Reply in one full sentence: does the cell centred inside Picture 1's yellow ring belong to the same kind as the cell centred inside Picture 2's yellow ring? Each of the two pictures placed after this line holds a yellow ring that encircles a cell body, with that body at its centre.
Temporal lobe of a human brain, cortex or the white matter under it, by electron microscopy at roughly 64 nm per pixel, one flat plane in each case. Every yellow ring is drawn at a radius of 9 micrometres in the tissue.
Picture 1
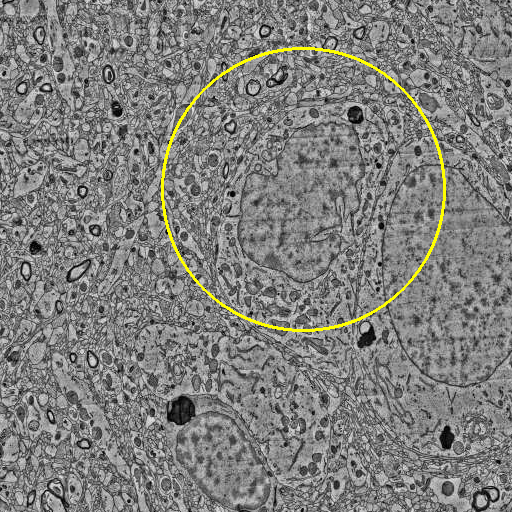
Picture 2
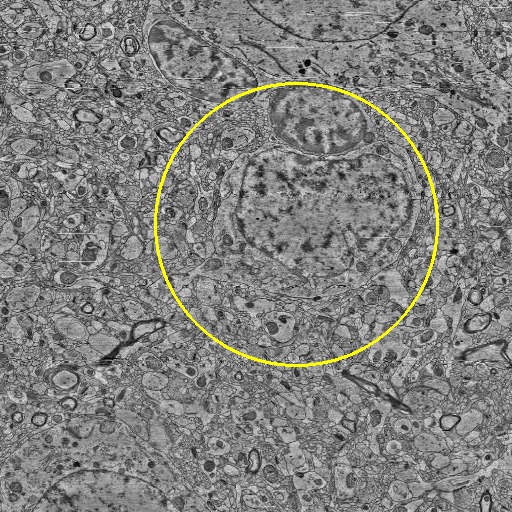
Yes, the ring-centred cells in Picture 1 and Picture 2 are of one and the same kind.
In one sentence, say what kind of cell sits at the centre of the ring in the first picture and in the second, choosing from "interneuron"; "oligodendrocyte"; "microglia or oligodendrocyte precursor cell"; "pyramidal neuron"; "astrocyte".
The ring centre holds an interneuron in each of the two pictures.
